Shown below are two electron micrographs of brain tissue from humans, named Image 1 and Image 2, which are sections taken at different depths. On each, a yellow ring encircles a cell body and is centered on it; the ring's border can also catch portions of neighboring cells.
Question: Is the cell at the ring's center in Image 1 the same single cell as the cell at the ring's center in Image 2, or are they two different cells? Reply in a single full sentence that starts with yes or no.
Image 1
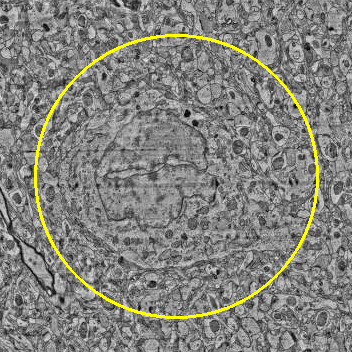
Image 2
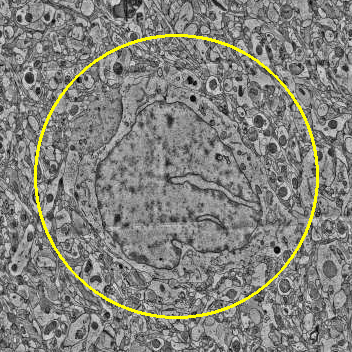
Yes, one single cell is under each of the two rings.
